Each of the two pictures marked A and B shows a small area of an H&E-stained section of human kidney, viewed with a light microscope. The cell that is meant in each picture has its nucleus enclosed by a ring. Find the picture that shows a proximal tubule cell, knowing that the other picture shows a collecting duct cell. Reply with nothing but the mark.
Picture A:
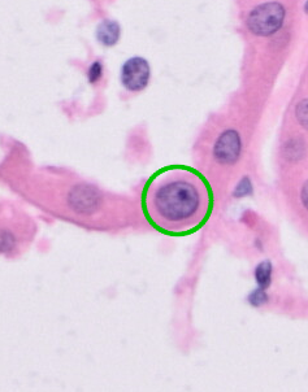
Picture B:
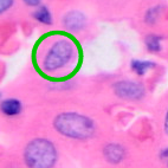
A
